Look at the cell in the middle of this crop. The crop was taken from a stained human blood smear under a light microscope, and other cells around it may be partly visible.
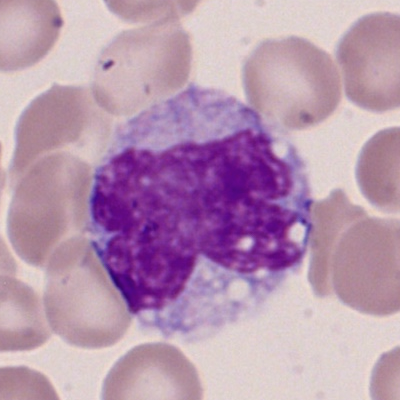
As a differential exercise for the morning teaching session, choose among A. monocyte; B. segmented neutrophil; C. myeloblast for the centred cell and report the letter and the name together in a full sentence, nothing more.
Option A gives the correct identity of the central cell, namely a monocyte.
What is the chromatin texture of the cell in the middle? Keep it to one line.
The chromatin pattern is fine and free of coarse clumps.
